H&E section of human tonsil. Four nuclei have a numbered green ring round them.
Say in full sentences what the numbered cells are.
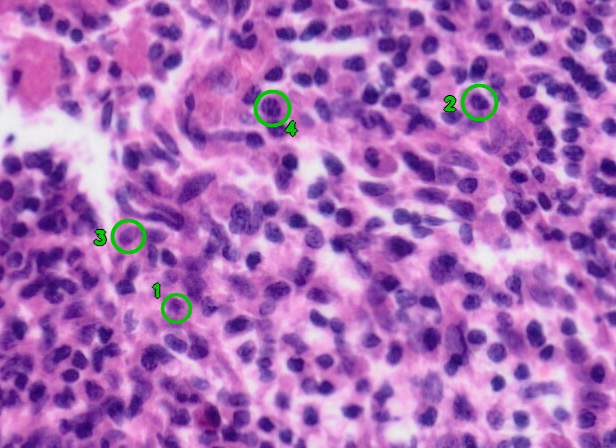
Cell 1 is a squamous epithelial cell, cell 2 is a plasma cell, cell 3 is a squamous epithelial cell and cell 4 is a plasma cell.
